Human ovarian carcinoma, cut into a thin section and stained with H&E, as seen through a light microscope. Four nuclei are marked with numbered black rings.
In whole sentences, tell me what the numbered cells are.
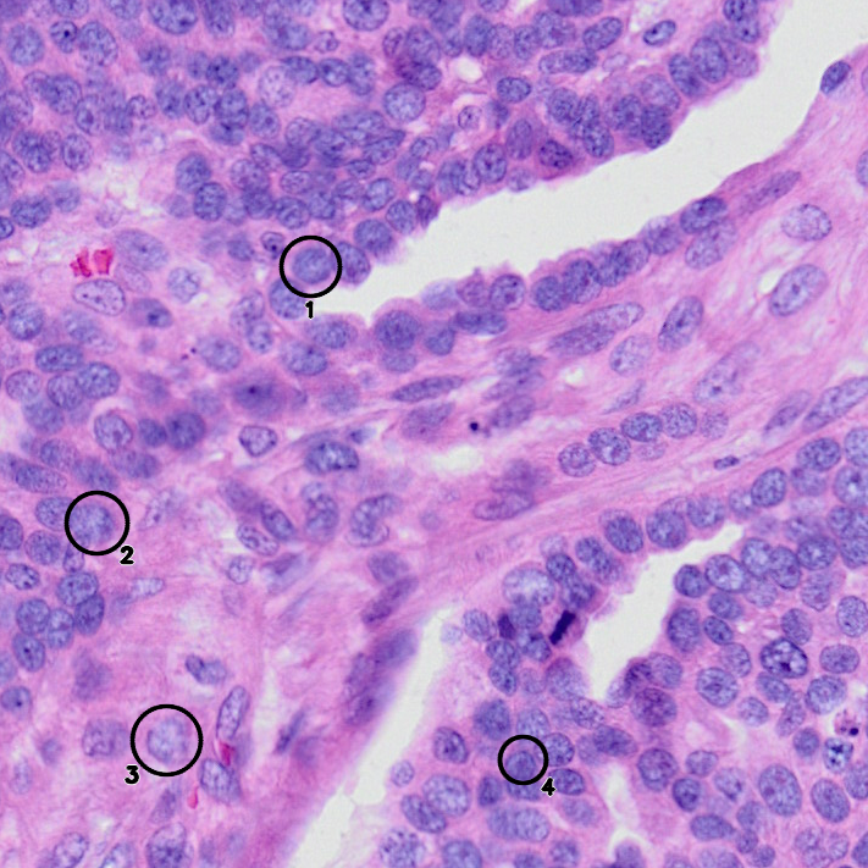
Cell 1 is a carcinoma cell, cell 2 is a carcinoma cell, cell 3 is a fibroblast and cell 4 is a carcinoma cell.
